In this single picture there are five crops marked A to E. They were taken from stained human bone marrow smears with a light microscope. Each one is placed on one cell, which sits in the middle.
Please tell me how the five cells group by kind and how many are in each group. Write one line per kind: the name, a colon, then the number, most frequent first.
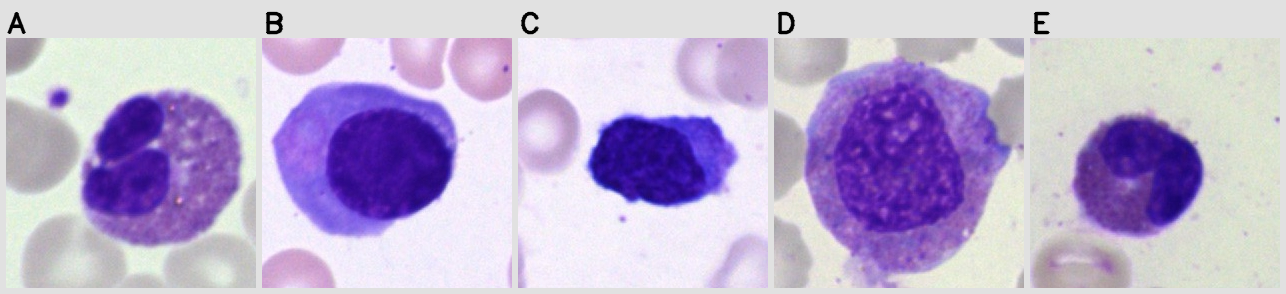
eosinophil: 3
plasma cell: 2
